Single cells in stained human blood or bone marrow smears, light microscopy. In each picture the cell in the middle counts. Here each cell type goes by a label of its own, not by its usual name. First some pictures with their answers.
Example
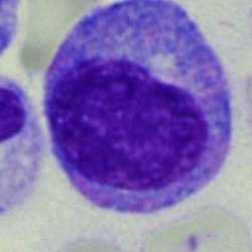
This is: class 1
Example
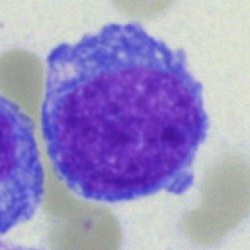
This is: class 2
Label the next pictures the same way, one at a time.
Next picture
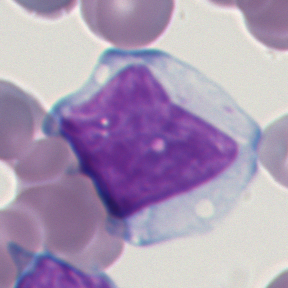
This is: class 2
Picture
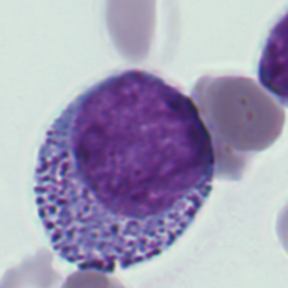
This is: class 1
